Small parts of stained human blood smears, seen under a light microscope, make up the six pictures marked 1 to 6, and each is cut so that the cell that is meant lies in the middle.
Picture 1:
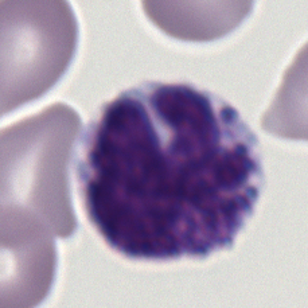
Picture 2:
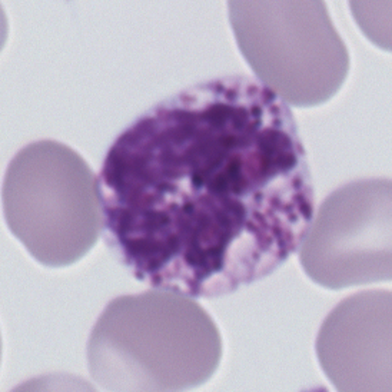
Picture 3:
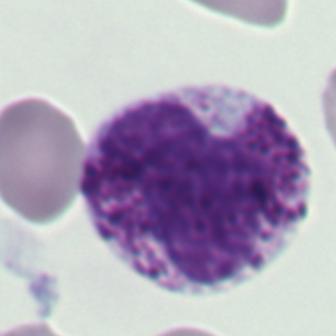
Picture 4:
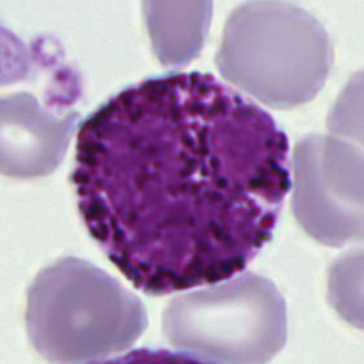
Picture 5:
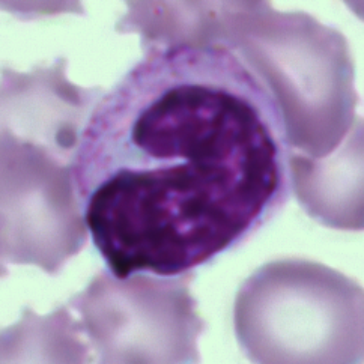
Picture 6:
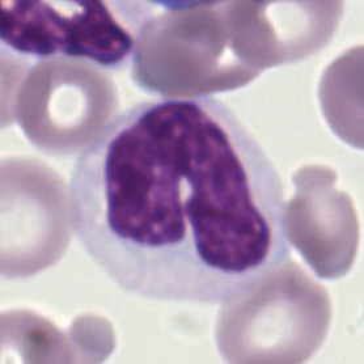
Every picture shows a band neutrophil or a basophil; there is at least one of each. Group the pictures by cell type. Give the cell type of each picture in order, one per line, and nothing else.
basophil
basophil
basophil
basophil
band neutrophil
band neutrophil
